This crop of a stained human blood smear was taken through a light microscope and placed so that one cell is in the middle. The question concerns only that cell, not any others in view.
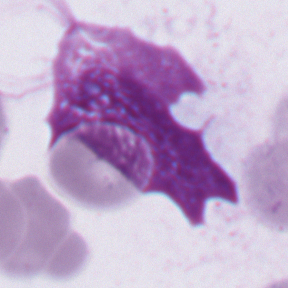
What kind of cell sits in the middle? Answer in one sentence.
The cell nearest the centre of this crop is a smudge cell.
